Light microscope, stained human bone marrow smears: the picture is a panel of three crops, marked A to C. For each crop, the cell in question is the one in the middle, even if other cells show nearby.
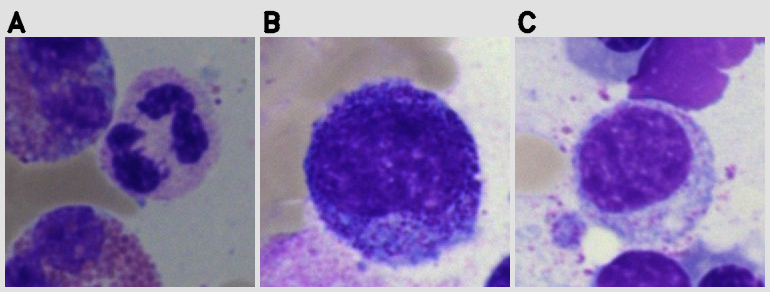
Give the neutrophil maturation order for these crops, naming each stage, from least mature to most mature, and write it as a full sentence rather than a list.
The ordering by maturity, least to greatest, is crop B (a promyelocyte), crop C (a myelocyte) and crop A (a segmented neutrophil).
